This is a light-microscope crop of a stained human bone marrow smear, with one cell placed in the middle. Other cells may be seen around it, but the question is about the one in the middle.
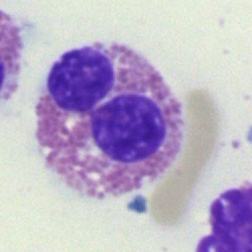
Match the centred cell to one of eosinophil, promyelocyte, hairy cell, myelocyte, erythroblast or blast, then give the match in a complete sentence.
The middle of this crop holds an eosinophil.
